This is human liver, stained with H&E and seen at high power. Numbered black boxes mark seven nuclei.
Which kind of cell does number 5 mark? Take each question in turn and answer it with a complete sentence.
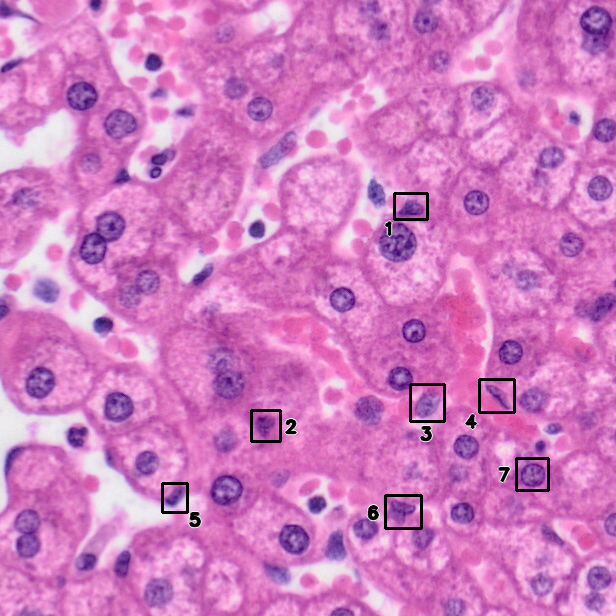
The identity of cell 5 is that of an endothelial cell.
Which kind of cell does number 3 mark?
Of the numbered cells, the one labelled 3 is a Kupffer cell.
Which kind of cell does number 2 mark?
The cell numbered 2 has been identified as a fibroblast or stellate cell.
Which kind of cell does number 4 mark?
Here the cell numbered 4 is an endothelial cell.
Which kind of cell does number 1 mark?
Cell 1 in the field of view is a fibroblast or stellate cell.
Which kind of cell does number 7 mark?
The cell referenced by the number 7 is a hepatocyte in this field.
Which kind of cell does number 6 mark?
Number 6 is placed on an endothelial cell here.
